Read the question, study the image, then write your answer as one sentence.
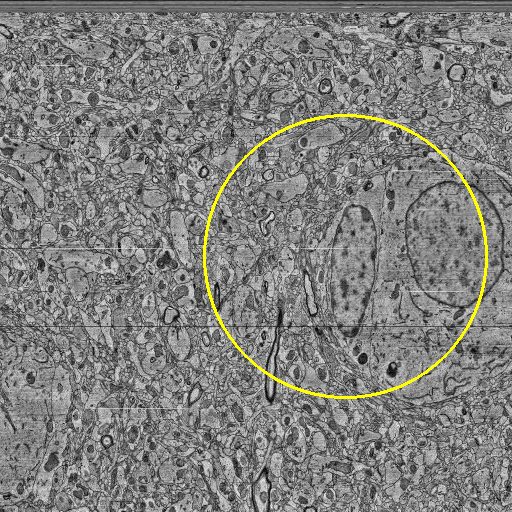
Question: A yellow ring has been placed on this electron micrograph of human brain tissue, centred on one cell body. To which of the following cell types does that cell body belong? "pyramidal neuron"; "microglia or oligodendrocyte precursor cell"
That cell body belongs to a microglial cell or oligodendrocyte precursor cell.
